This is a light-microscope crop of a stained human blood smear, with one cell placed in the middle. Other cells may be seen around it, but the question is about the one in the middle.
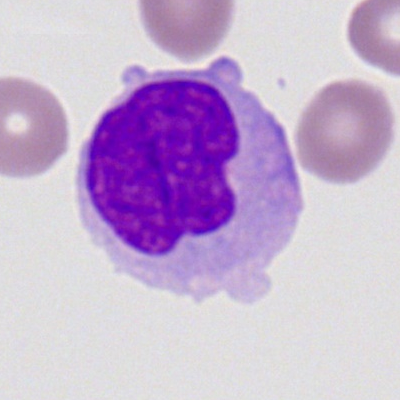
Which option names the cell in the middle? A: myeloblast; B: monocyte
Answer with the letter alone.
B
